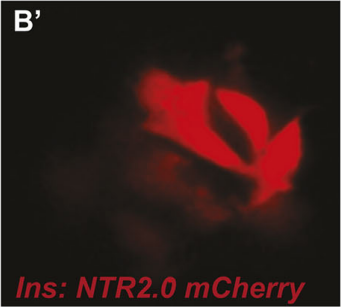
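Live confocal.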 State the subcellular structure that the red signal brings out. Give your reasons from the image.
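Red signal fills whole cell bodies with angular outlines. So: cytoplasm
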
